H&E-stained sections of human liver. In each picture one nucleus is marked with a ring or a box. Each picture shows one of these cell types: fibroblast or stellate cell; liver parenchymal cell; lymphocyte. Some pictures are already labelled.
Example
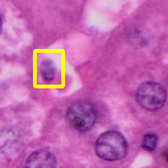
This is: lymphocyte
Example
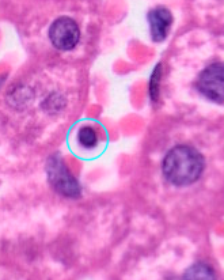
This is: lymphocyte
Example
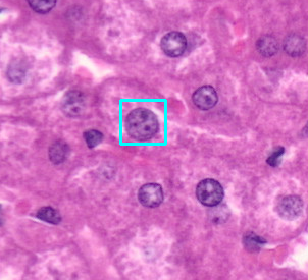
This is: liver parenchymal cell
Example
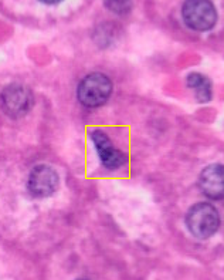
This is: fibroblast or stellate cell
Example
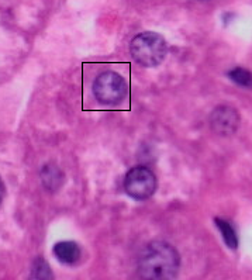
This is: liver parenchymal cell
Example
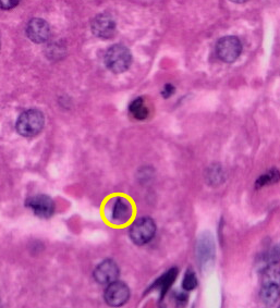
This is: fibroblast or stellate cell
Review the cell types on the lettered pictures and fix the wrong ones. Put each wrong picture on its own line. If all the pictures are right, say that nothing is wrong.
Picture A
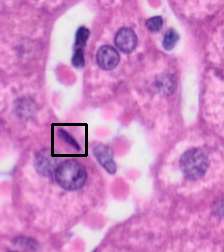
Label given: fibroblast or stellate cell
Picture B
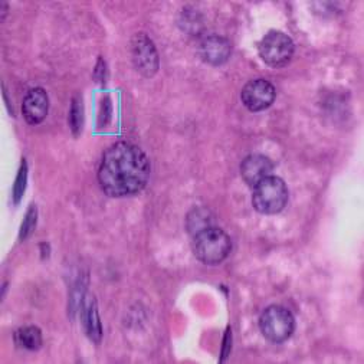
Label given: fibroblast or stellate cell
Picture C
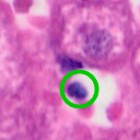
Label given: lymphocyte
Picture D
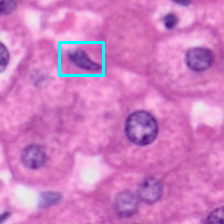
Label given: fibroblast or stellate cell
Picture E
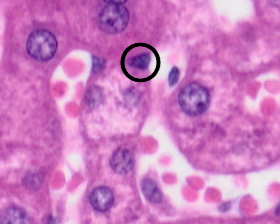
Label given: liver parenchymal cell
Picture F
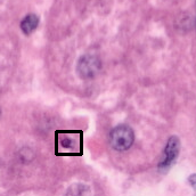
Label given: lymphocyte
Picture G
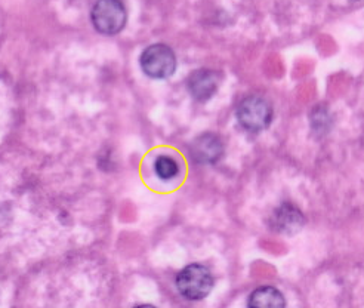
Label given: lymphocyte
E: not liver parenchymal cell but fibroblast or stellate cell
